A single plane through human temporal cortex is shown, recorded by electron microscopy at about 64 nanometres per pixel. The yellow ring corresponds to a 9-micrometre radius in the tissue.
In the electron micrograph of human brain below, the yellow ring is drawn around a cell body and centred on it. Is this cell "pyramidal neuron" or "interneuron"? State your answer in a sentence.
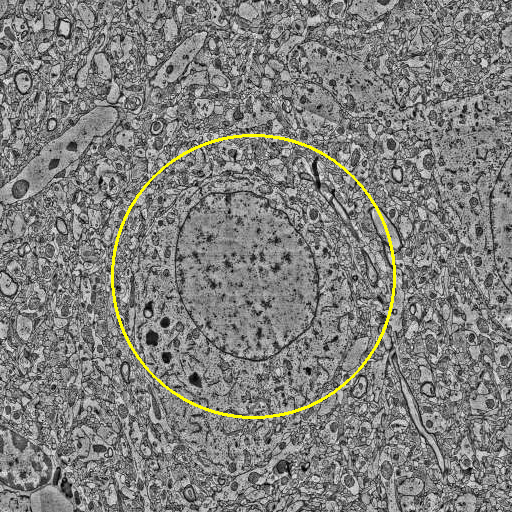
The cell in the middle of the ring is a pyramidal neuron.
